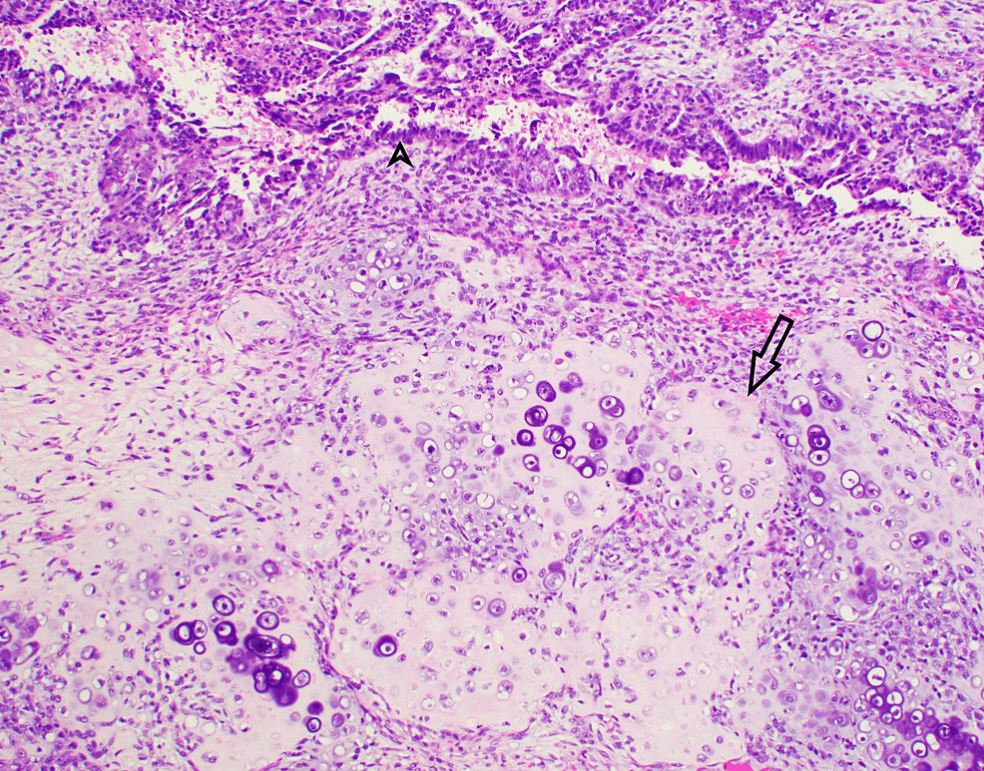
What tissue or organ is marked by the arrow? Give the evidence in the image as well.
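Heterologous malignant cartilage formation. Pale pink-lilac glassy matrix forms nodules in the lower half. Cells sit in clear rounded lacunae within the matrix.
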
